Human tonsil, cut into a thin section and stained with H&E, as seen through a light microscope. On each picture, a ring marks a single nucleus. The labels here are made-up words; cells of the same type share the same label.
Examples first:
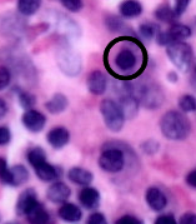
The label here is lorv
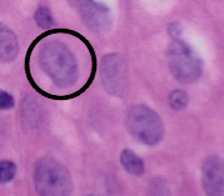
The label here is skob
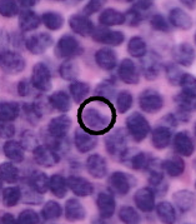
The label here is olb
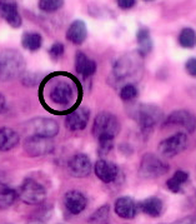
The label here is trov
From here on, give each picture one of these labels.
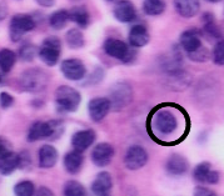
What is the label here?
lorv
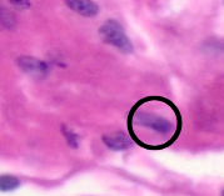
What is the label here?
lorv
